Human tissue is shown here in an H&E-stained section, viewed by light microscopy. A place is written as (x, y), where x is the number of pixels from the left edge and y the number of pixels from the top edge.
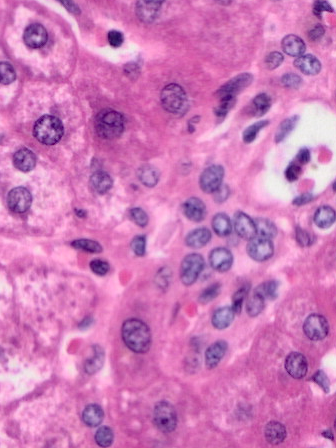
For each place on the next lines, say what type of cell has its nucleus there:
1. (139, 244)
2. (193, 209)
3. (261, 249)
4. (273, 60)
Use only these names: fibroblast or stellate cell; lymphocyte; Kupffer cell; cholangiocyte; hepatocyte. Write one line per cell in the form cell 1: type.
cell 1: fibroblast or stellate cell
cell 2: cholangiocyte
cell 3: cholangiocyte
cell 4: cholangiocyte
